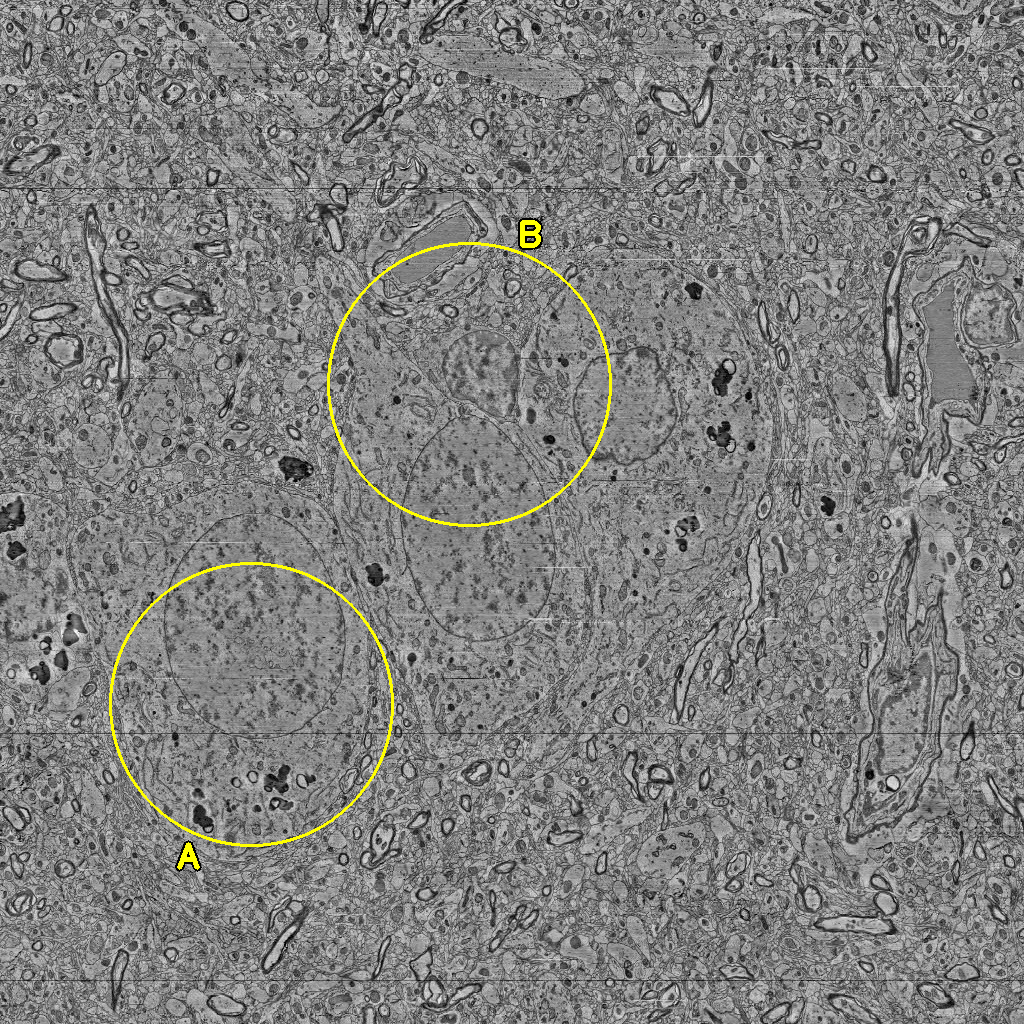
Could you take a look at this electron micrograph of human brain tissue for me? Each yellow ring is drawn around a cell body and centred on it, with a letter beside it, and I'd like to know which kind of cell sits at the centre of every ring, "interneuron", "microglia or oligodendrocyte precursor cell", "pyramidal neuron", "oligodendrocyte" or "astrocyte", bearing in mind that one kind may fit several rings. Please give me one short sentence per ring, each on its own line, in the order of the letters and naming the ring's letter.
Ring A is centred on a pyramidal neuron.
Ring B is centred on an oligodendrocyte.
